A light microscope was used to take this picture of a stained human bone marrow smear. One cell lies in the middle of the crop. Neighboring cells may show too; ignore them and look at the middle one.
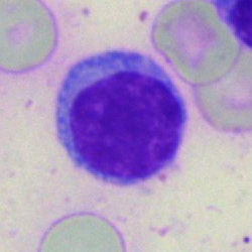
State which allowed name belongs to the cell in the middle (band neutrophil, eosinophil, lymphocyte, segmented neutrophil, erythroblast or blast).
lymphocyte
